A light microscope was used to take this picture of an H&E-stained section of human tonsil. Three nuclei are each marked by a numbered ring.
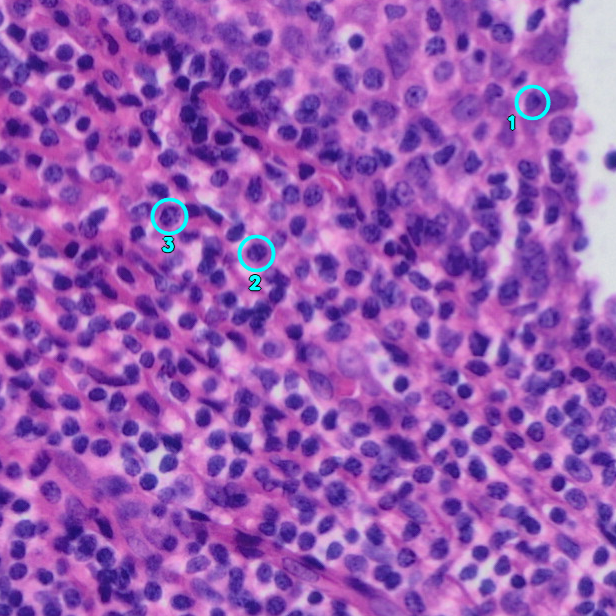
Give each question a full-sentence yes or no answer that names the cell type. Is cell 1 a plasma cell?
No, cell 1 represents a squamous epithelial cell rather than a plasma cell.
